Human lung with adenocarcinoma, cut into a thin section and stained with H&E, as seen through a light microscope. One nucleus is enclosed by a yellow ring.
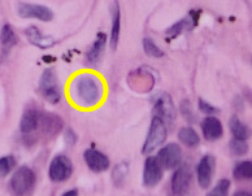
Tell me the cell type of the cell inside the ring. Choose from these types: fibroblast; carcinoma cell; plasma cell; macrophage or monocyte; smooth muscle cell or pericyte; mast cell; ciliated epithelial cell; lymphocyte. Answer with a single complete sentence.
Placed in its cell category, the cell inside the ring is a mast cell.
